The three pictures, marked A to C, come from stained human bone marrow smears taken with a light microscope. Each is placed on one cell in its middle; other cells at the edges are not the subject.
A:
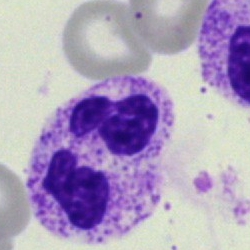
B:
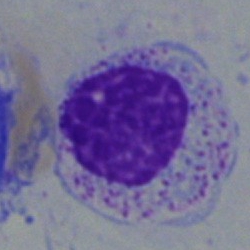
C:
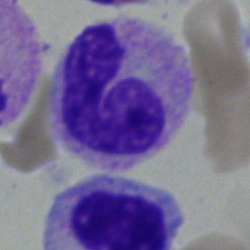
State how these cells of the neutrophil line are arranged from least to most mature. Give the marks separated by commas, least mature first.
B, C, A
